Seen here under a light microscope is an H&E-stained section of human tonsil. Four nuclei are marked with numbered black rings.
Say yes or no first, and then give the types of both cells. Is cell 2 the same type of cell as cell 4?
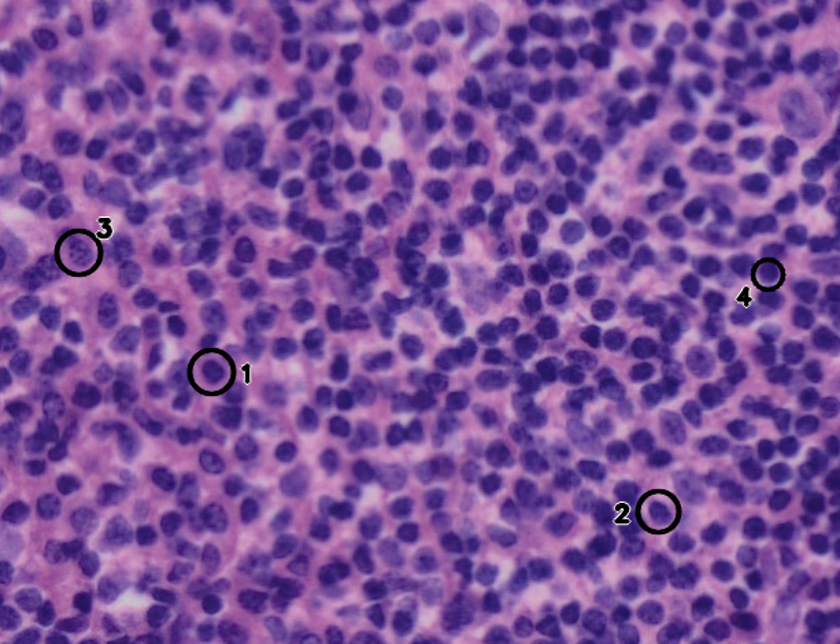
Yes, cells 2 and 4 are both to be classed as small lymphocytes.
